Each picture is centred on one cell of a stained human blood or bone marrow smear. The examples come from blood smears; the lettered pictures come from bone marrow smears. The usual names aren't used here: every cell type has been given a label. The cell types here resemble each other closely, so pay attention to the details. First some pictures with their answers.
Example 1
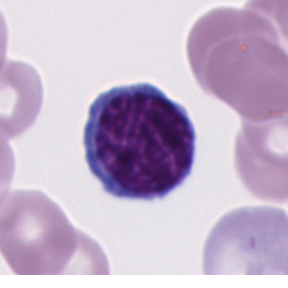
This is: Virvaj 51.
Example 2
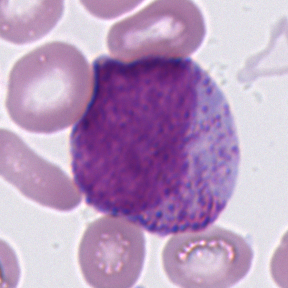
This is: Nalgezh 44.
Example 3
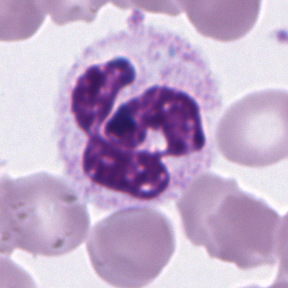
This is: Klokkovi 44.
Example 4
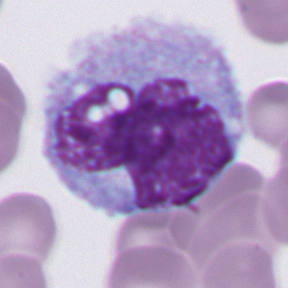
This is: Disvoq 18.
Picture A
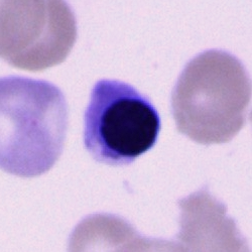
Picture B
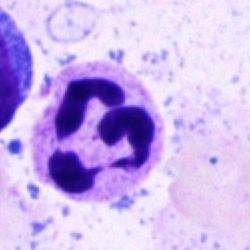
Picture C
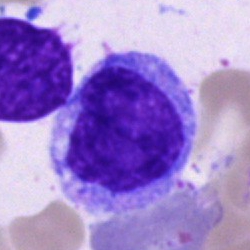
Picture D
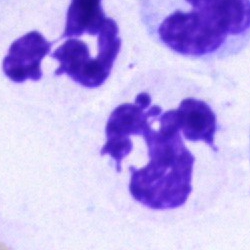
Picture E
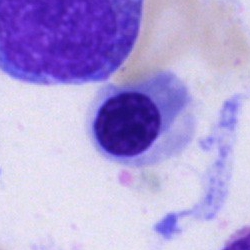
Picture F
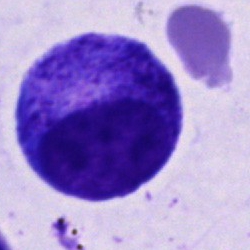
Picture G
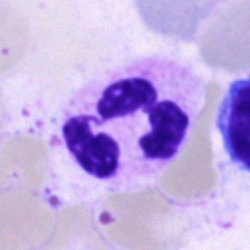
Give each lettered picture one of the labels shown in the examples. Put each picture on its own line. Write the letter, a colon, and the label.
A: Virvaj 51.
B: Klokkovi 44.
C: Disvoq 18.
D: Klokkovi 44.
E: Virvaj 51.
F: Nalgezh 44.
G: Klokkovi 44.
